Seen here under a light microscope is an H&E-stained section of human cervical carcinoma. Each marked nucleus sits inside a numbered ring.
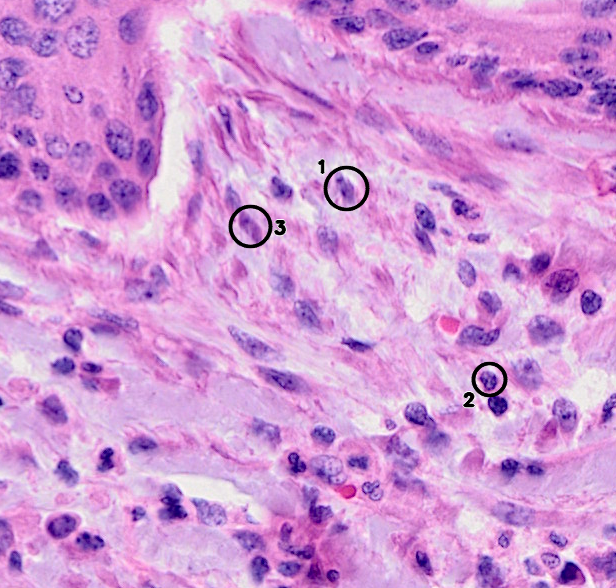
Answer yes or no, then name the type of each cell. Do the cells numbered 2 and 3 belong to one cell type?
No, a lymphocyte is what cell 2 is, and a fibroblast is what cell 3 is.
